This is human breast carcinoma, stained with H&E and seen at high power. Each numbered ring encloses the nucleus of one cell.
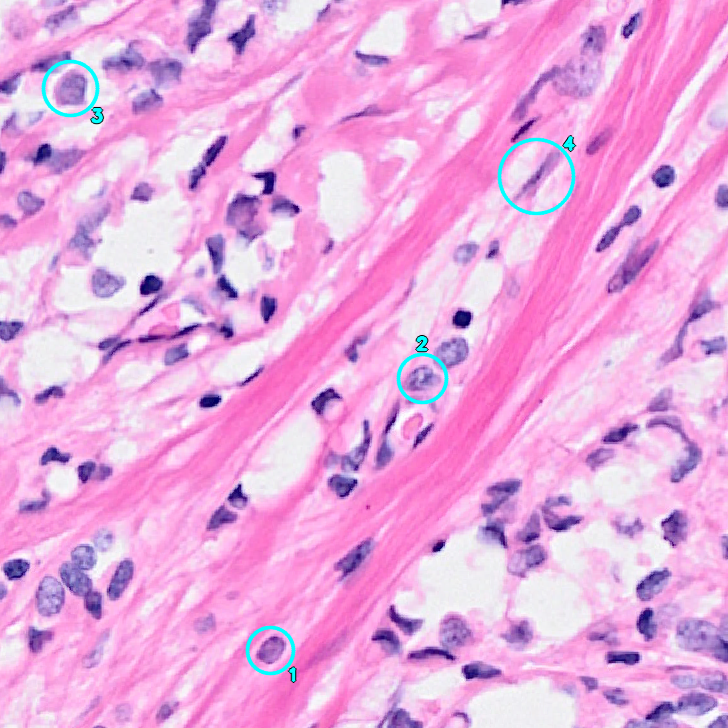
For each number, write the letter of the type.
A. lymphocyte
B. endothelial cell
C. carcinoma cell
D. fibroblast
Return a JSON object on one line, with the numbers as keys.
{"1": "A", "2": "B", "3": "C", "4": "D"}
